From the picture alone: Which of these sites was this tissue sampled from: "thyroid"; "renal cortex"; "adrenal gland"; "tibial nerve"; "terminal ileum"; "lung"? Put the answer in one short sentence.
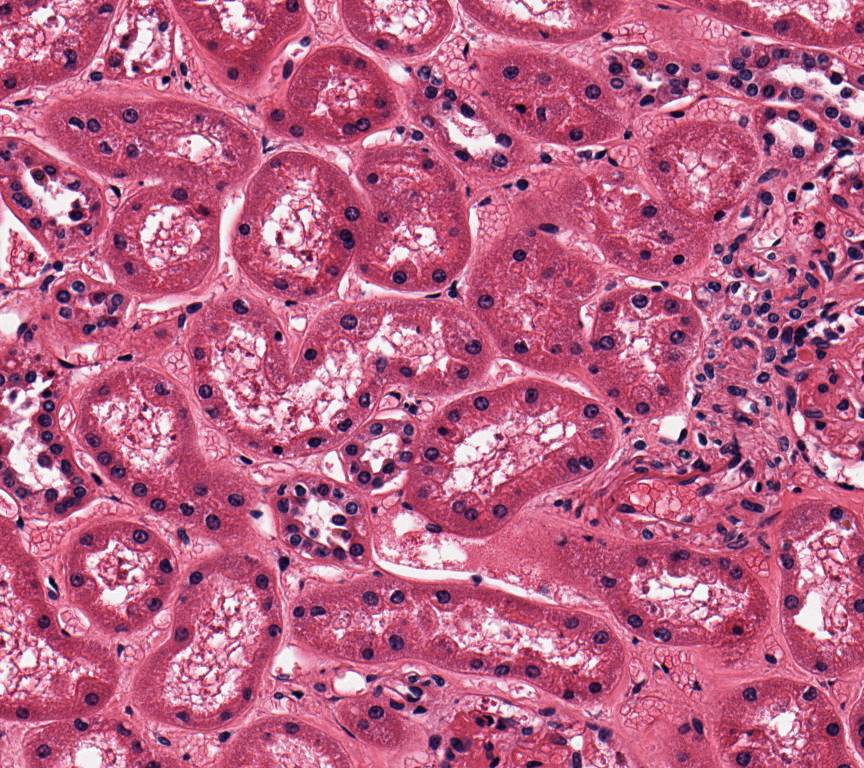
The site this tissue was sampled from is the renal cortex.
